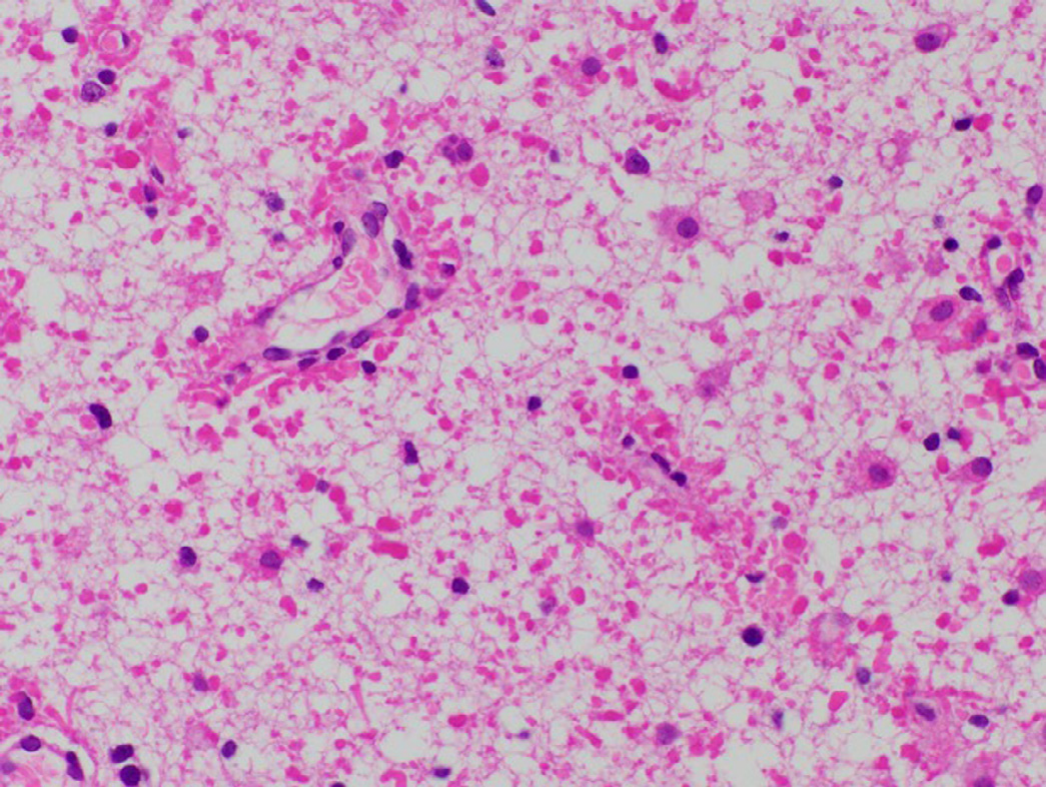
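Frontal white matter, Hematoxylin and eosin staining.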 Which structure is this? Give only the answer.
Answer: Rosenthal fibers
